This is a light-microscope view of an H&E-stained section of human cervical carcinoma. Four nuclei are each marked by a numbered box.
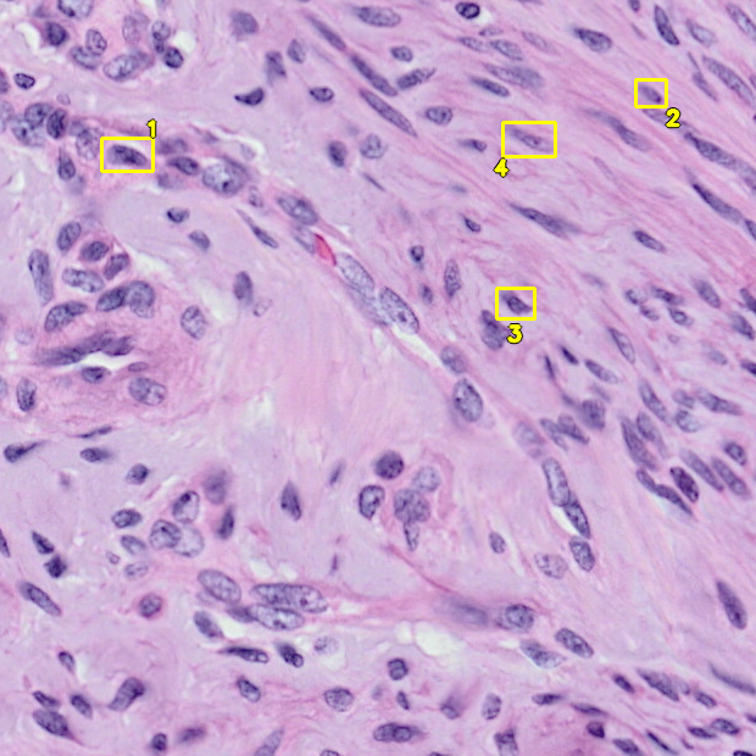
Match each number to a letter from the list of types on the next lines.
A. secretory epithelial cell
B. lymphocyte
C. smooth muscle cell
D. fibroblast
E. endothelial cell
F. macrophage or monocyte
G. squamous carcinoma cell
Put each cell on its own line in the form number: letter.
1: E
2: C
3: C
4: C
